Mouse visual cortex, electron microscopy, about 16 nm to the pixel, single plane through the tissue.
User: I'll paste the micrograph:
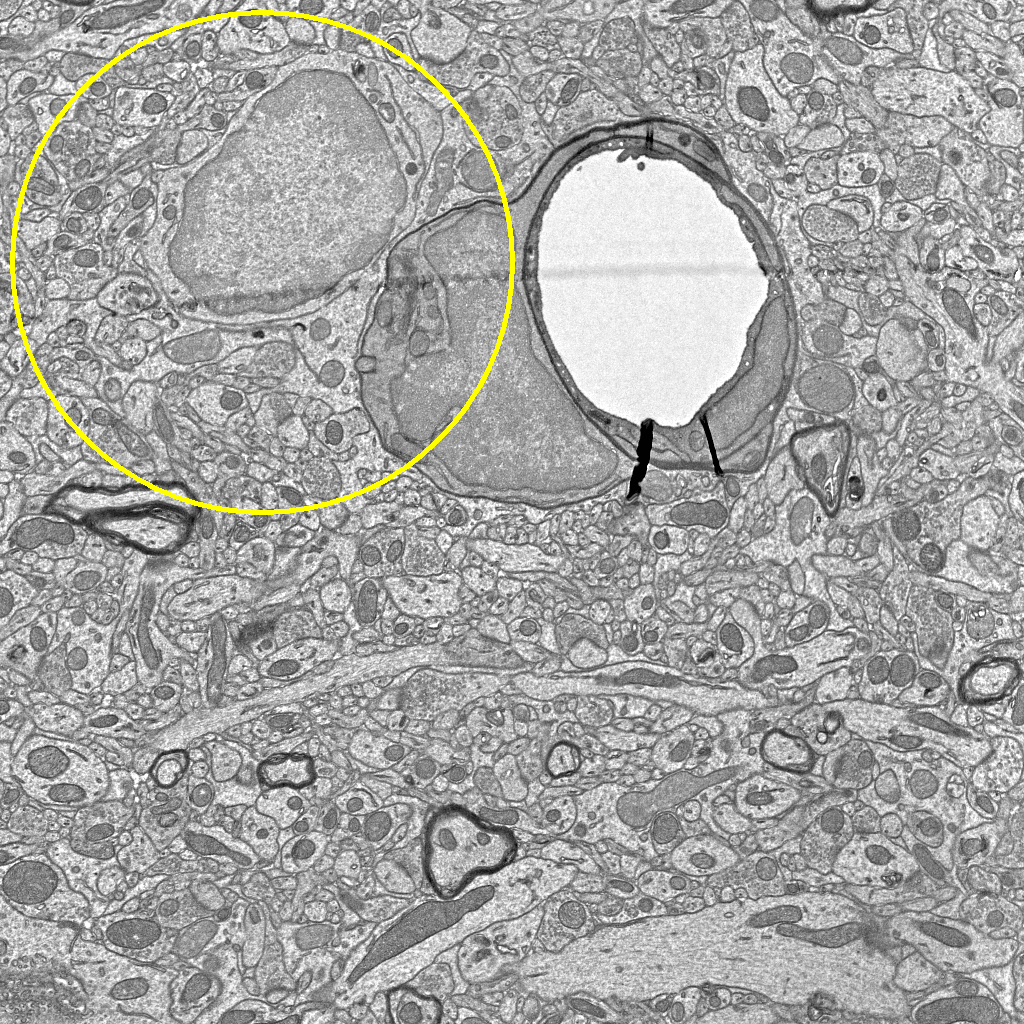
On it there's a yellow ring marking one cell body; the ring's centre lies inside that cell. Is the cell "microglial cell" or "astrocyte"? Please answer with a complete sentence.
The cell at the centre of the yellow ring is a microglial cell.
